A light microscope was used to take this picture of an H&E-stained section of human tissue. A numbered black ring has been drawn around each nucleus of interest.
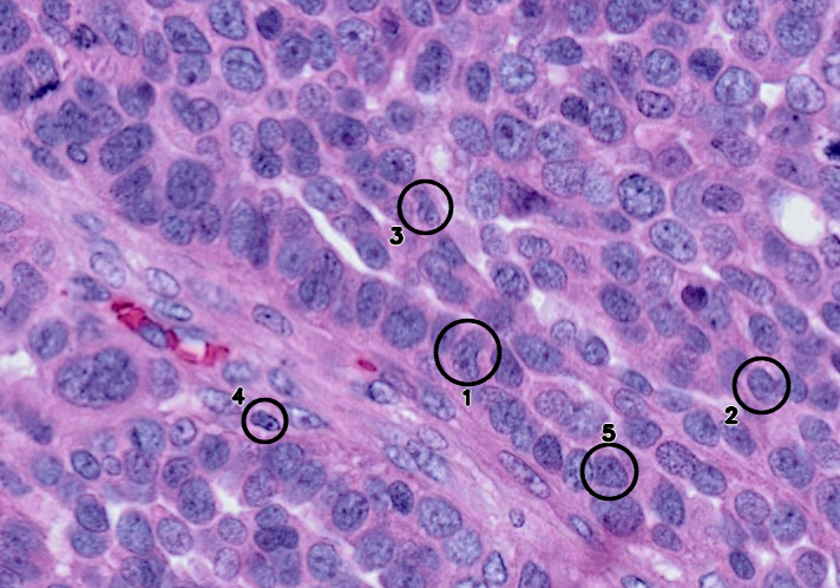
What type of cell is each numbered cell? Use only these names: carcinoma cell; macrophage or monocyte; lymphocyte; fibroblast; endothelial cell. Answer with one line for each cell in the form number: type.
1: carcinoma cell
2: carcinoma cell
3: macrophage or monocyte
4: lymphocyte
5: carcinoma cell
